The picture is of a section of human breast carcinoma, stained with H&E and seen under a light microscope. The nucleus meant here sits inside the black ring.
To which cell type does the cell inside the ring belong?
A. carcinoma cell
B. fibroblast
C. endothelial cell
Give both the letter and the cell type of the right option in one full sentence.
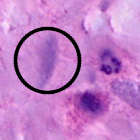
The right option is B, the cell inside the ring being a fibroblast.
